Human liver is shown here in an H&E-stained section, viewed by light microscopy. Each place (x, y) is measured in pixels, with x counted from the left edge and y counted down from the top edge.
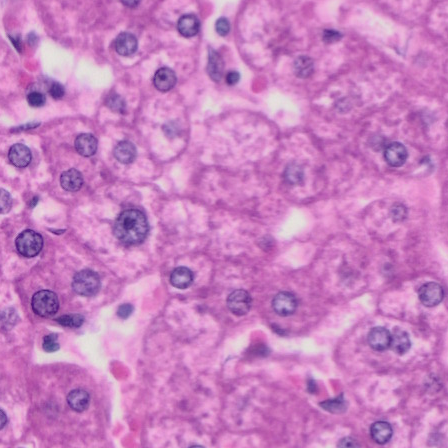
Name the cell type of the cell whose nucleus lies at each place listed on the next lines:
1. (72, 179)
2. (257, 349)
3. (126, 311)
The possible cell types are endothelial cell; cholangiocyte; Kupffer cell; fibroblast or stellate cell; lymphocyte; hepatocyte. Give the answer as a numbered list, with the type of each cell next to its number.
1. hepatocyte
2. Kupffer cell
3. lymphocyte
